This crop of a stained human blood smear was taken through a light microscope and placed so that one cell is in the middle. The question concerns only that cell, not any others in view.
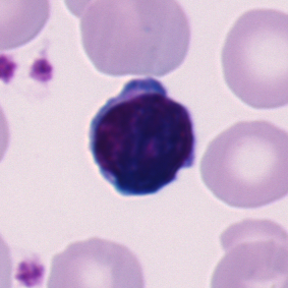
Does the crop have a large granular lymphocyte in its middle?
no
